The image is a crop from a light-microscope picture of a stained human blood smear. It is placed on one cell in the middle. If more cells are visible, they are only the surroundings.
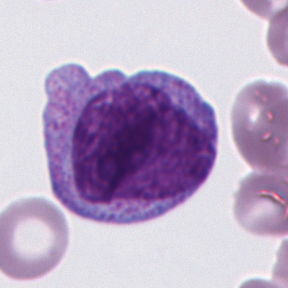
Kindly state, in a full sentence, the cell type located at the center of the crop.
The central cell, amid any neighbouring cells, is an atypical promyelocyte.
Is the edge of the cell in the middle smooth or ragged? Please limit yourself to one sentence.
Ragged or projecting, the border of this cell departs from a smooth contour.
